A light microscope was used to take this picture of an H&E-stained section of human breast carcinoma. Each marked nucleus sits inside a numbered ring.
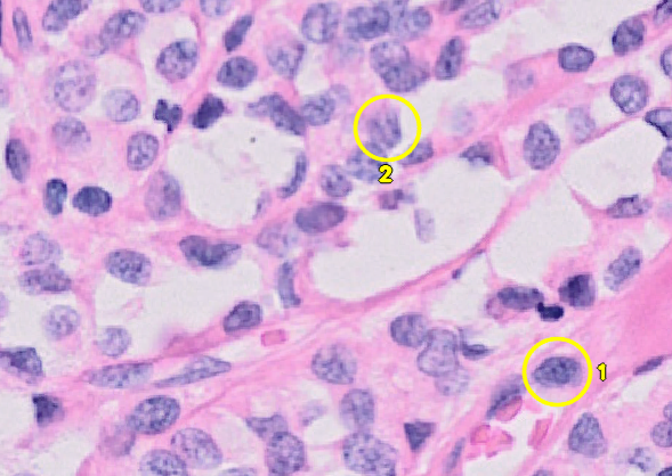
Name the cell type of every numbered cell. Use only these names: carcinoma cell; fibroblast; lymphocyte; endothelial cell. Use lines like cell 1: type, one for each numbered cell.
cell 1: endothelial cell
cell 2: carcinoma cell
